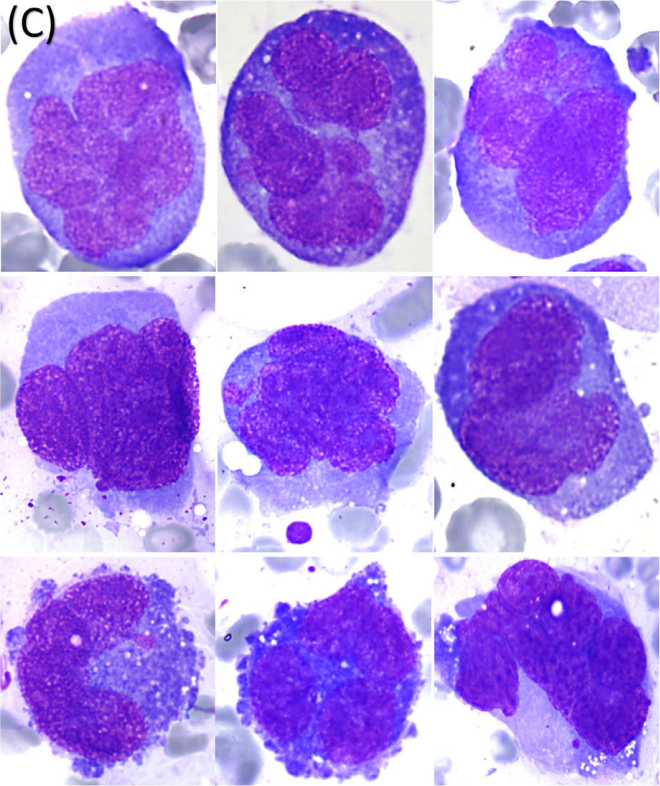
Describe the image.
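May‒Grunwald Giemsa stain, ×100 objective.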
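Nine very large single cells are shown at high magnification, each dwarfing the pale red cells at its edges. Each has a big nucleus that is folded into several rounded lobes, with densely speckled purple chromatin. A rim of blue to grey-blue cytoplasm surrounds the nucleus, in some cells with small clear vacuoles or a ragged, blebbed border.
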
